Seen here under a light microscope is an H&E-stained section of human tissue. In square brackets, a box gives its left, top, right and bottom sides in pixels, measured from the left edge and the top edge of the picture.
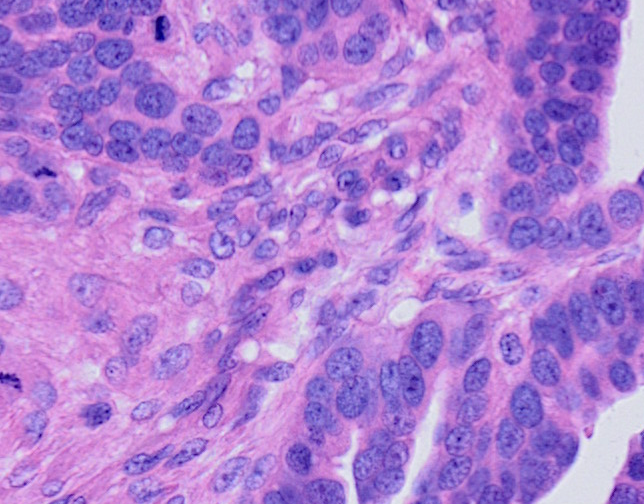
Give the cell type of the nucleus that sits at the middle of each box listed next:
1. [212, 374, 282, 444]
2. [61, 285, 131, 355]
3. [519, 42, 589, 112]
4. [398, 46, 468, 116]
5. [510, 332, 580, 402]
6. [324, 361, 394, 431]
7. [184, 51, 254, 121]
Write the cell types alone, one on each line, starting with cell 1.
fibroblast
fibroblast
carcinoma cell
fibroblast
carcinoma cell
carcinoma cell
fibroblast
